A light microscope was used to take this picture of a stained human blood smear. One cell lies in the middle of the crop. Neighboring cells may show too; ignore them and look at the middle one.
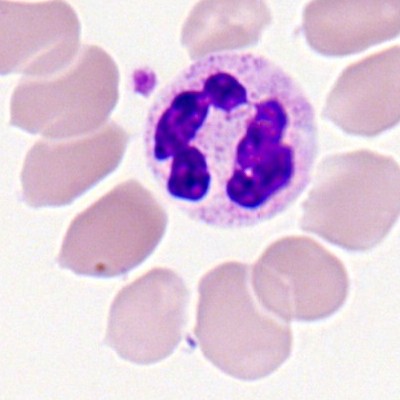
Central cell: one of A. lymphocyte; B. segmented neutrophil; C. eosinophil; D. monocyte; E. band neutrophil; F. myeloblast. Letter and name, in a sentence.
The cell in the middle is a segmented neutrophil, so option B is correct.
